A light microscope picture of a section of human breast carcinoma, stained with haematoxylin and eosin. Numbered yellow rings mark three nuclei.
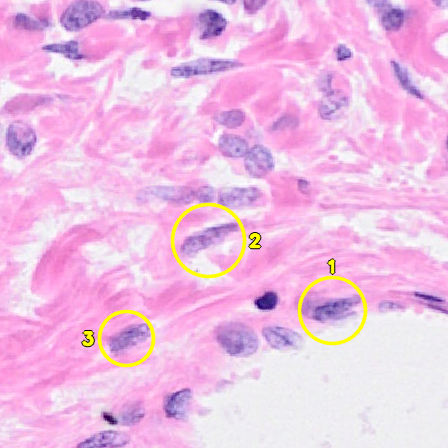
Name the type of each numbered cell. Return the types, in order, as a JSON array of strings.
["endothelial cell", "fibroblast", "fibroblast"]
